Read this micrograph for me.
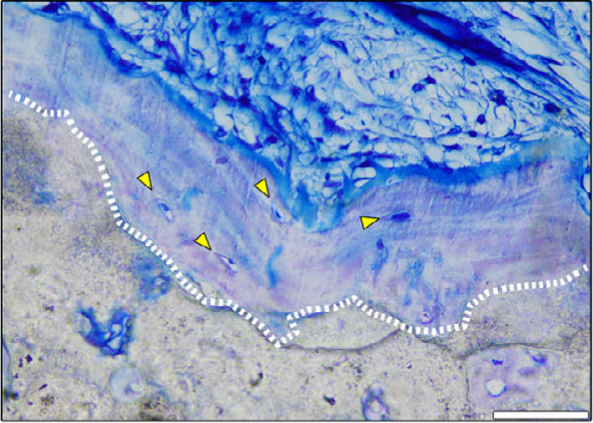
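The bone matrix stains pale purple with faint parallel bands, and small elongated dark cells sit in it aligned with the bands. Above the bone lies a loose, deeply blue meshwork of fibrous tissue with scattered cells.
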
